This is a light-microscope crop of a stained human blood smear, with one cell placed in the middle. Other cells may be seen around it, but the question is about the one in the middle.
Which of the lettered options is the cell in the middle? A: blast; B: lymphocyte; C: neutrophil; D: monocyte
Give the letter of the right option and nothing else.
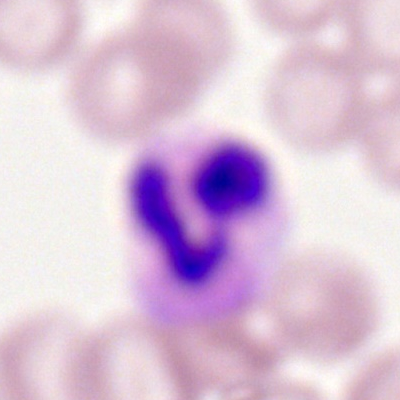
C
